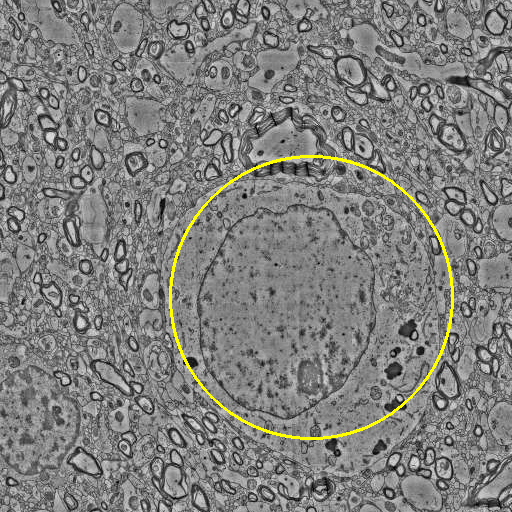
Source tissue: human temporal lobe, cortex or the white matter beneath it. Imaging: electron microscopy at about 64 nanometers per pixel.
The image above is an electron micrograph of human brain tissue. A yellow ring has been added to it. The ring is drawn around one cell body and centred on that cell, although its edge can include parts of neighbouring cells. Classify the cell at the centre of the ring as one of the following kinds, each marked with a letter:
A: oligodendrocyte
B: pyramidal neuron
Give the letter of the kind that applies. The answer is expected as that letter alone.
B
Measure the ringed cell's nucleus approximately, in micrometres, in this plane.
The nucleus appears about 13 micrometres across in this plane.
